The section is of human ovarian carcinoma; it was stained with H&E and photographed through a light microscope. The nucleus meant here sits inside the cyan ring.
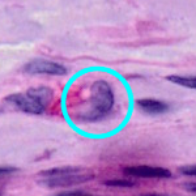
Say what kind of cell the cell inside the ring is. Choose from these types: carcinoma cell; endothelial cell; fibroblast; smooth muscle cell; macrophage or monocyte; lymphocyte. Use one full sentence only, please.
It is an endothelial cell that the cell inside the ring represents.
